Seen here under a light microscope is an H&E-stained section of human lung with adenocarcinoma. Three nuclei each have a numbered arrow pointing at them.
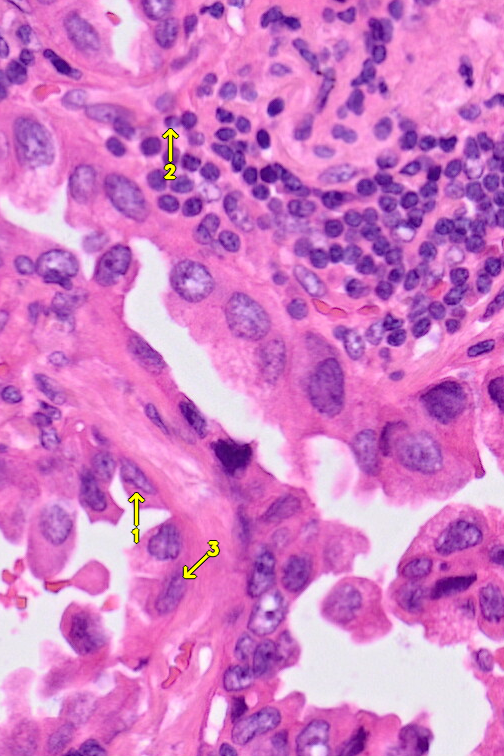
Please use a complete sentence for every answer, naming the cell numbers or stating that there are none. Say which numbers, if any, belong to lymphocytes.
The nucleus labelled 2 alone belongs to a lymphocyte; the other marked nuclei do not.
